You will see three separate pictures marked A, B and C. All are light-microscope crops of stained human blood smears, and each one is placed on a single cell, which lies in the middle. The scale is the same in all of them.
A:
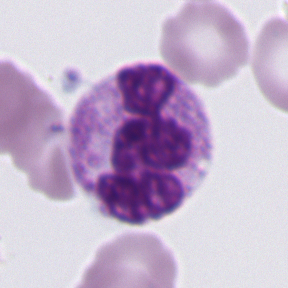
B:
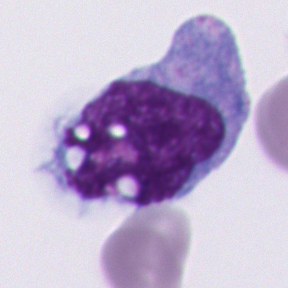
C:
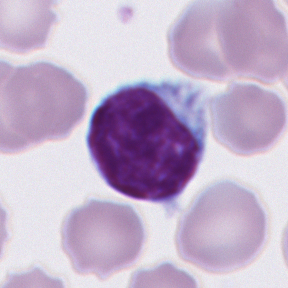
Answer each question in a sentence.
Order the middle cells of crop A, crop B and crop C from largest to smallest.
Going down, they run B, A, C.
